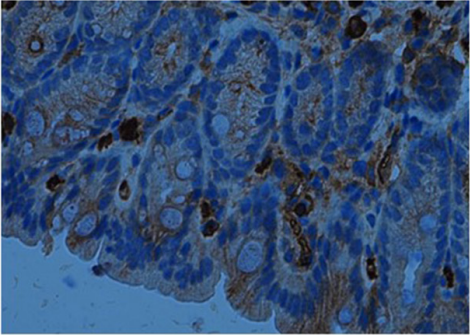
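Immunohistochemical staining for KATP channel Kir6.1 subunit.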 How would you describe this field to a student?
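Colonic mucosa with crypts cut longitudinally and obliquely, lined by columnar epithelium with basal blue nuclei and pale rounded mucus-filled goblet cells. Scattered dark brown-stained cells sit in the lamina propria between crypts, and the epithelial cytoplasm shows faint brown staining.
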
